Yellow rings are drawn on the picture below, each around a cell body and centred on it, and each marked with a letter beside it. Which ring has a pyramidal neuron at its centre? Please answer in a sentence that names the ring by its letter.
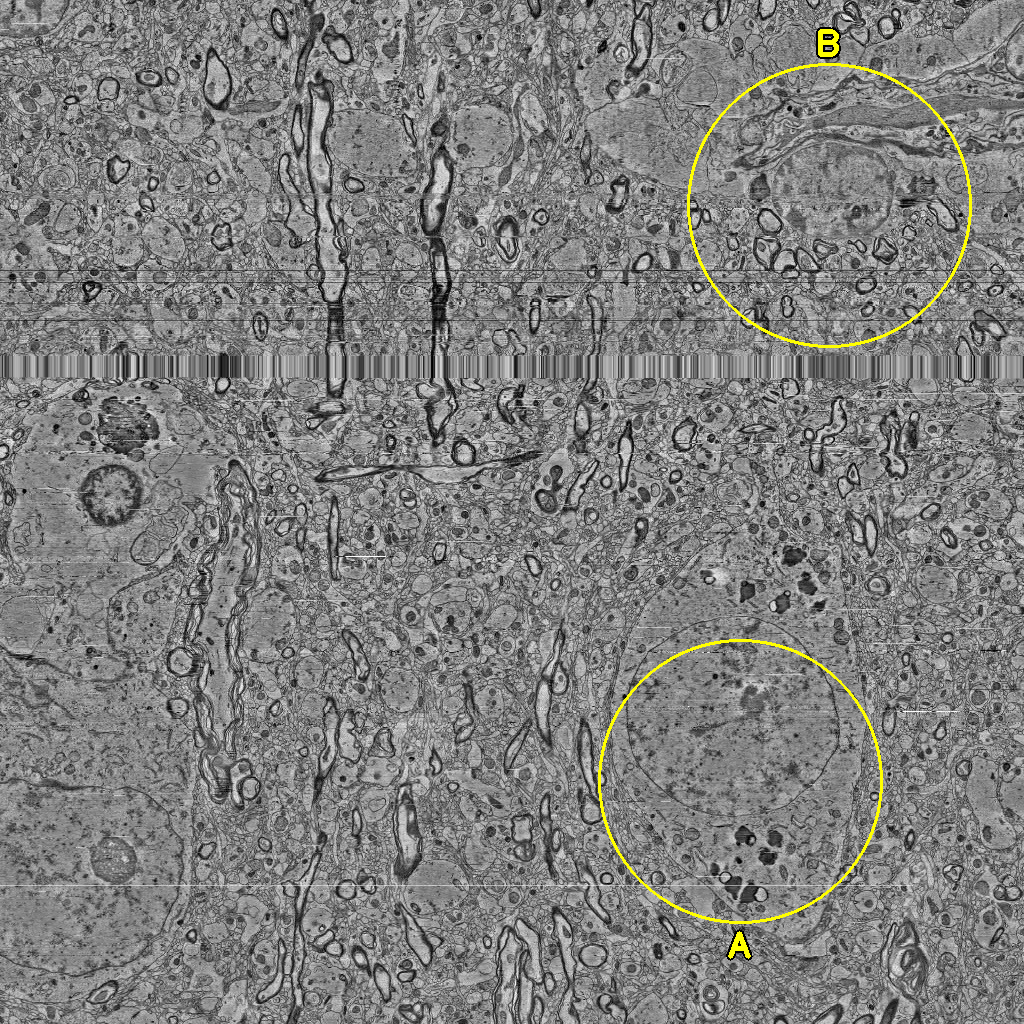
That is ring A.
